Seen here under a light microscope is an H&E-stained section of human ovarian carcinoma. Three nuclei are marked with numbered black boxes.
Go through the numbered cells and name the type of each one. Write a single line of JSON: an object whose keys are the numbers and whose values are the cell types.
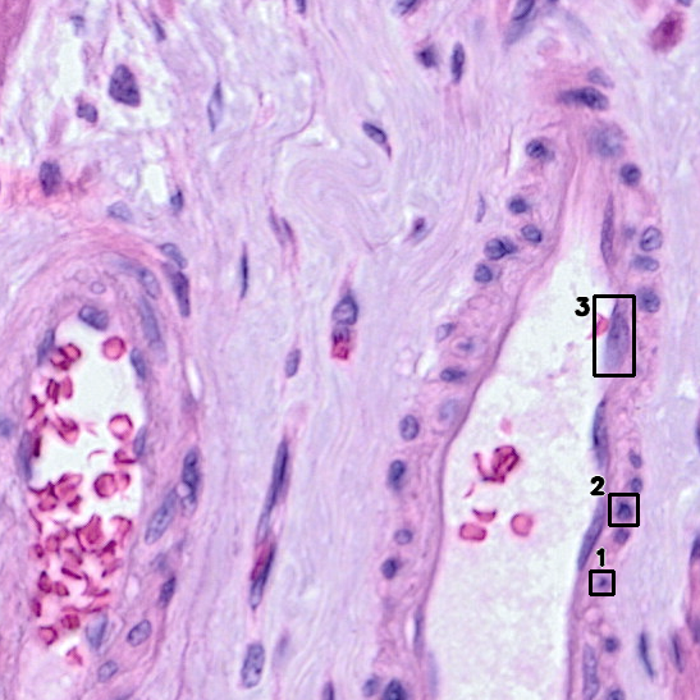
{"1": "smooth muscle cell", "2": "smooth muscle cell", "3": "endothelial cell"}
